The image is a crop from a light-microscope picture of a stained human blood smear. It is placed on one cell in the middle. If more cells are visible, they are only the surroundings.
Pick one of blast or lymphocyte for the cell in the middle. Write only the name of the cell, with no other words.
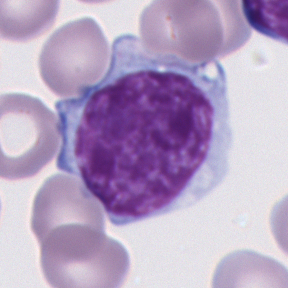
blast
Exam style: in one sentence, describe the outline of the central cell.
This cell has an uneven outline, either ragged or bearing projections.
